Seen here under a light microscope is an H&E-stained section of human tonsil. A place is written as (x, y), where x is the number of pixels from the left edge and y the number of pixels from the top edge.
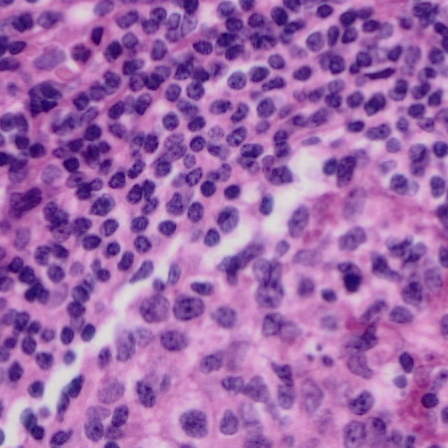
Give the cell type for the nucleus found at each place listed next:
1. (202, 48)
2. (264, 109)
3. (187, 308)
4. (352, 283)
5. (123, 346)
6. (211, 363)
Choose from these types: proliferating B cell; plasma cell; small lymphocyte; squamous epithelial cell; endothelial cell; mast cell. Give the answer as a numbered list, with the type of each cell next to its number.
1. small lymphocyte
2. small lymphocyte
3. proliferating B cell
4. proliferating B cell
5. proliferating B cell
6. proliferating B cell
